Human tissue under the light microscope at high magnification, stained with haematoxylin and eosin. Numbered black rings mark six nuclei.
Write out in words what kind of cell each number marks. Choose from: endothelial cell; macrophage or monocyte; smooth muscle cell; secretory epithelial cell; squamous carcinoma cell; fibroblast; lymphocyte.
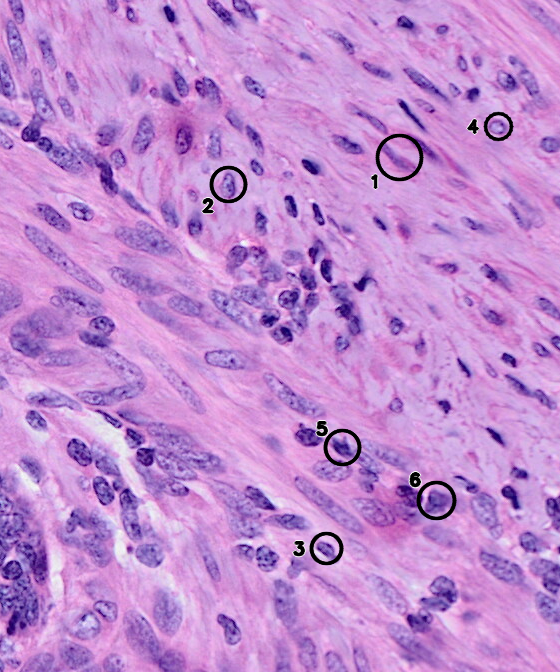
Cell 1 is a smooth muscle cell, cell 2 is a smooth muscle cell, cell 3 is a lymphocyte, cell 4 is a smooth muscle cell, cell 5 is a lymphocyte and cell 6 is a lymphocyte.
